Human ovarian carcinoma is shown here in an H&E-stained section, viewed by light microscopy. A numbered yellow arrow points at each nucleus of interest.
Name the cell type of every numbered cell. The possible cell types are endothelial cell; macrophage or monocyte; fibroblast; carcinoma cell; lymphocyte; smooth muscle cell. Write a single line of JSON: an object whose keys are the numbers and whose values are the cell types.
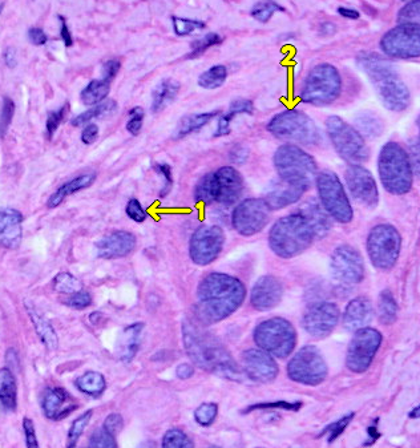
{"1": "lymphocyte", "2": "carcinoma cell"}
